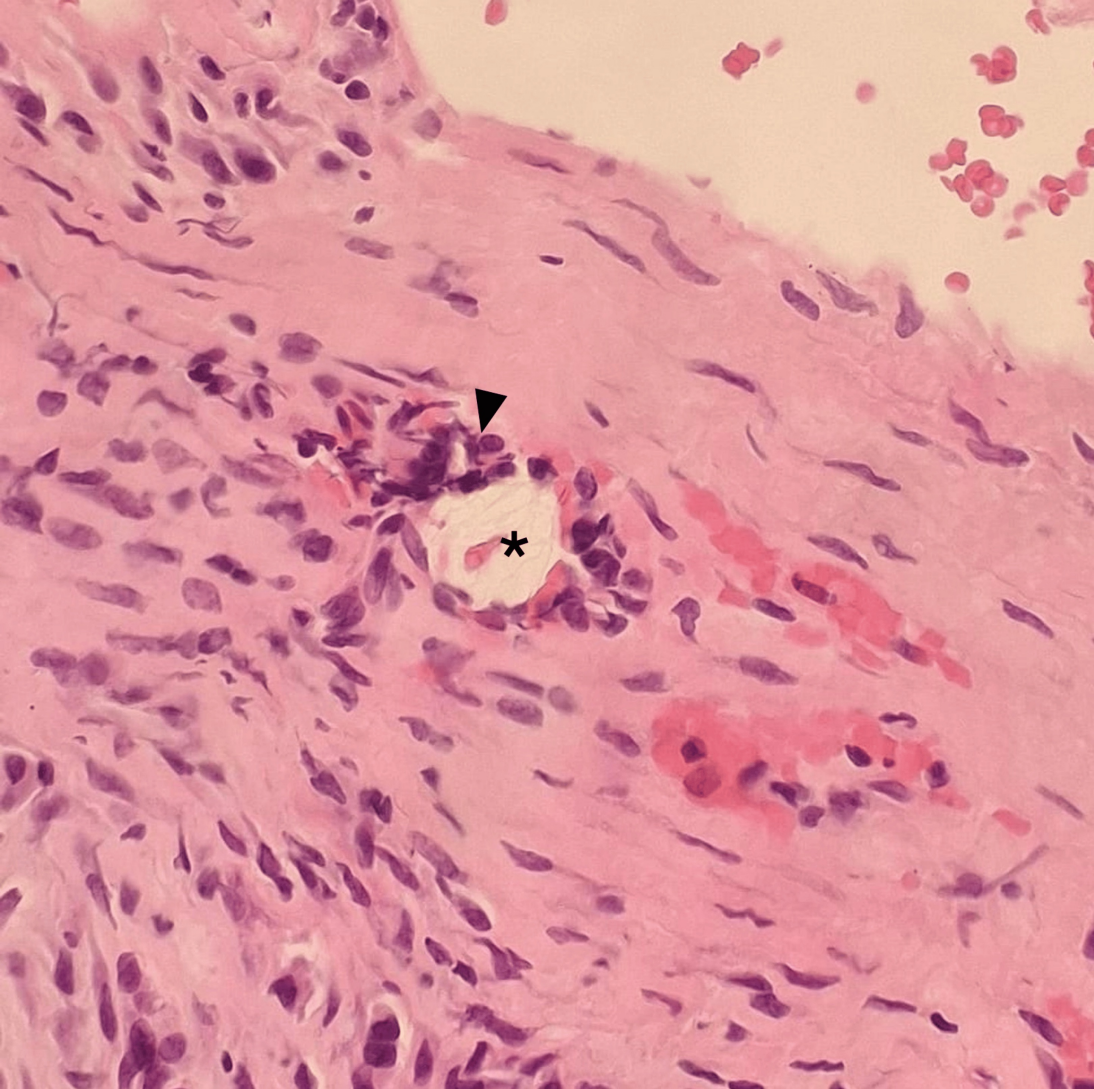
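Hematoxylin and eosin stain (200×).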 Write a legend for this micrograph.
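This field shows hyalinized connective tissue with reactive fibroblasts surrounding a foreign body. The matrix is pale pink, glassy and largely homogeneous. Elongated, wavy, spindle-shaped fibroblast nuclei run roughly parallel through it, and the cells are more crowded toward the left edge. Near the centre a rounded, sharply outlined clear space is rimmed by a collar of cells with dark nuclei, and at its upper left edge several nuclei are crowded together in one cluster. Small patches of red blood cells lie in the tissue to the right, and scattered red blood cells lie free in the empty area at the upper right.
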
